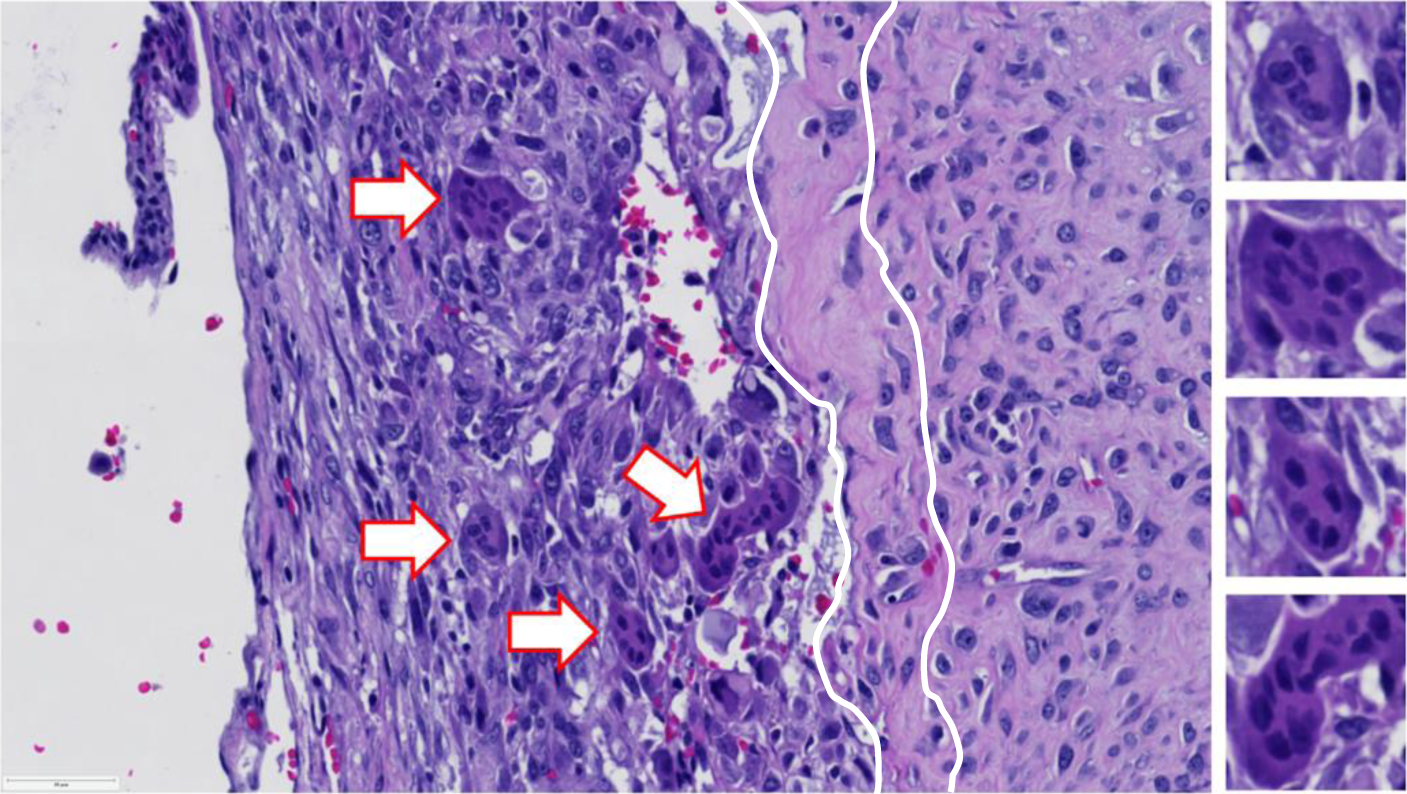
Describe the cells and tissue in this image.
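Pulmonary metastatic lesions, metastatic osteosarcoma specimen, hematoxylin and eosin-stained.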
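This section shows a tumor edge where a cellular peritumoral zone meets the tumor core, with multinucleated giant cells near the boundary. On the left, a thin surface layer borders an empty space, followed by spindle-shaped cells in a streaming stroma with scattered red blood cells. Among them lie several large cells, each packed with multiple dark purple nuclei clustered within abundant cytoplasm. A pale pink, sparsely cellular fibrillar band runs vertically, separating this zone from the tumor on the right, where pleomorphic cells with large nuclei sit in a light pink matrix.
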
